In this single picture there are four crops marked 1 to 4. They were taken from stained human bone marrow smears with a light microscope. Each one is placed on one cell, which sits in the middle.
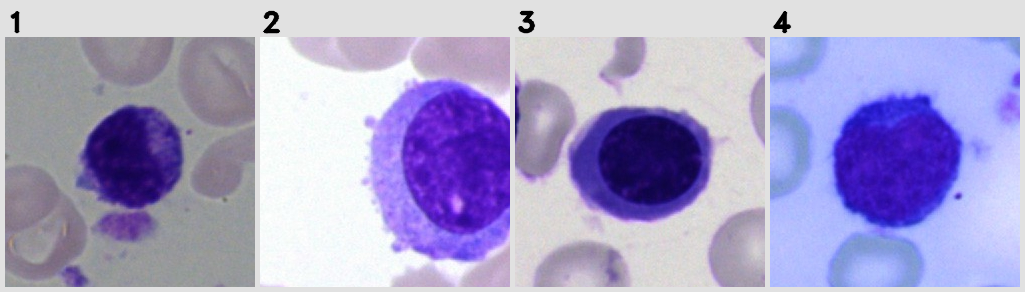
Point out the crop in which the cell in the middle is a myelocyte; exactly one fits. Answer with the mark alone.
1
